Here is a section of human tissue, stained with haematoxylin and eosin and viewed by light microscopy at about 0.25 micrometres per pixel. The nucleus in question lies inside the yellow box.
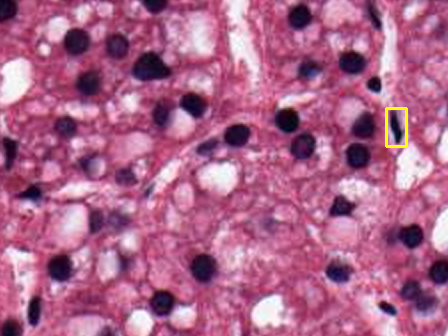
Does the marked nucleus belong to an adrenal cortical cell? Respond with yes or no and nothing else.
no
